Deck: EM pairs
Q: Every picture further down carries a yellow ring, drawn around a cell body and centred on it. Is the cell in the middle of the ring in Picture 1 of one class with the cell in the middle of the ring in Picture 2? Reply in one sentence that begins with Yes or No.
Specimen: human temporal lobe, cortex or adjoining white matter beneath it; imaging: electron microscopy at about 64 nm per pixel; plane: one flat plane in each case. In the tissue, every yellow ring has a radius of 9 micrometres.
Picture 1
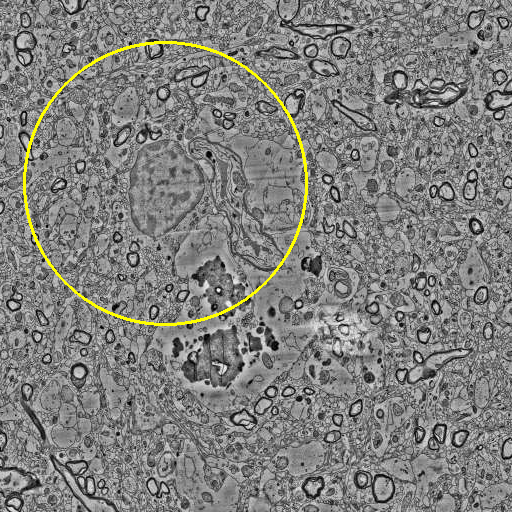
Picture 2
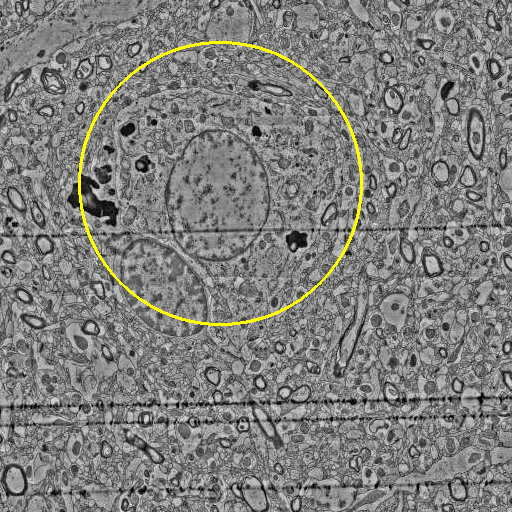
No, the cell centred in the ring of Picture 1 and the one in Picture 2 belong to separate classes.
